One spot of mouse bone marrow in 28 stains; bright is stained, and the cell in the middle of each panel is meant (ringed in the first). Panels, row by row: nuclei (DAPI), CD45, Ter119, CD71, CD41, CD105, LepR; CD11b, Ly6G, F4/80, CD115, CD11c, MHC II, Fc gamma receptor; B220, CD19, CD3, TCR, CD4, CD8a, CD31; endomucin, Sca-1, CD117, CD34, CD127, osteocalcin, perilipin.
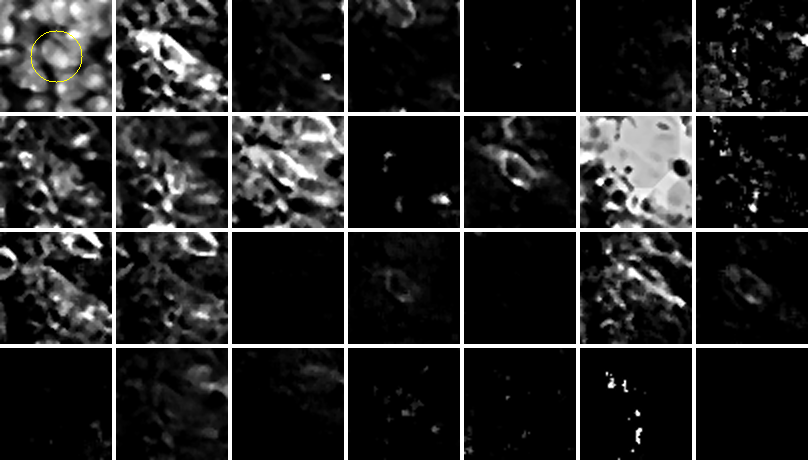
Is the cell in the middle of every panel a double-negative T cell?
No, it is a conventional dendritic cell.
